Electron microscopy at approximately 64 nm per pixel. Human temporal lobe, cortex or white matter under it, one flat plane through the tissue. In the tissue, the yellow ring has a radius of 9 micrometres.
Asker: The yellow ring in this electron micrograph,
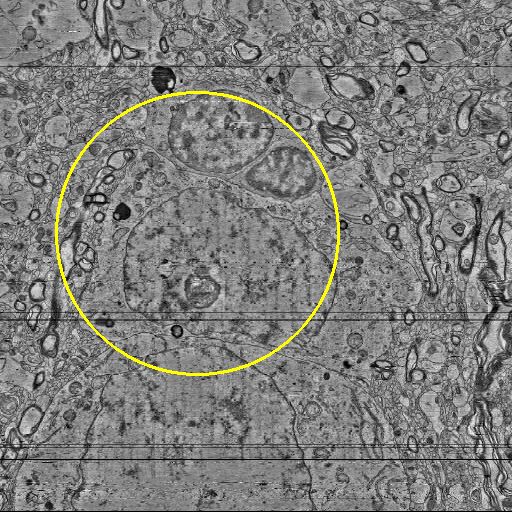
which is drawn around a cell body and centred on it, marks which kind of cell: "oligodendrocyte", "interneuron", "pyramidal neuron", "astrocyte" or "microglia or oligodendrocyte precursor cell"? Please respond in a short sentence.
The marked cell is an interneuron.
